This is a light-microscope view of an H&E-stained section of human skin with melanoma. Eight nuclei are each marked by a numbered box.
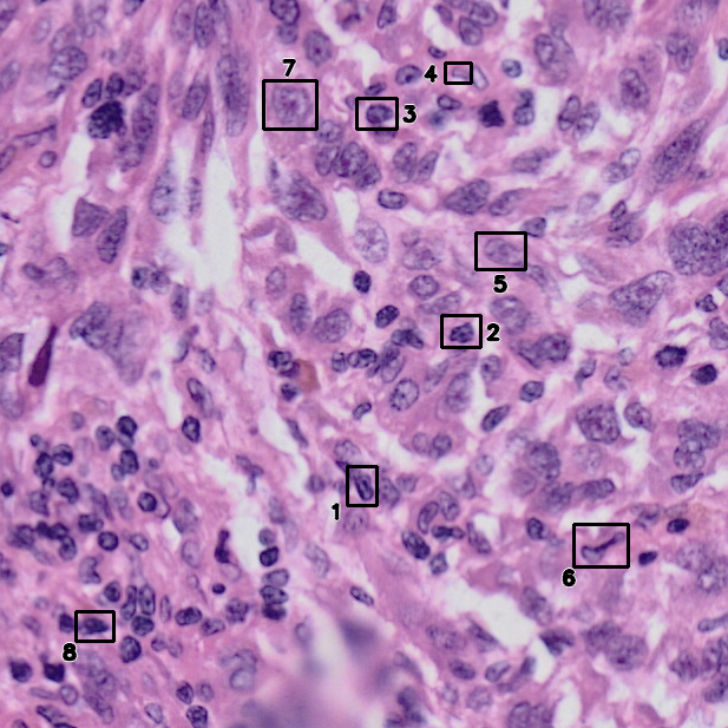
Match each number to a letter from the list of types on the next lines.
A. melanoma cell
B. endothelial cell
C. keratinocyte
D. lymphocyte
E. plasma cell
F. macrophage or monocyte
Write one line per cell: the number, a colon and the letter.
1: D
2: D
3: D
4: B
5: A
6: F
7: A
8: D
